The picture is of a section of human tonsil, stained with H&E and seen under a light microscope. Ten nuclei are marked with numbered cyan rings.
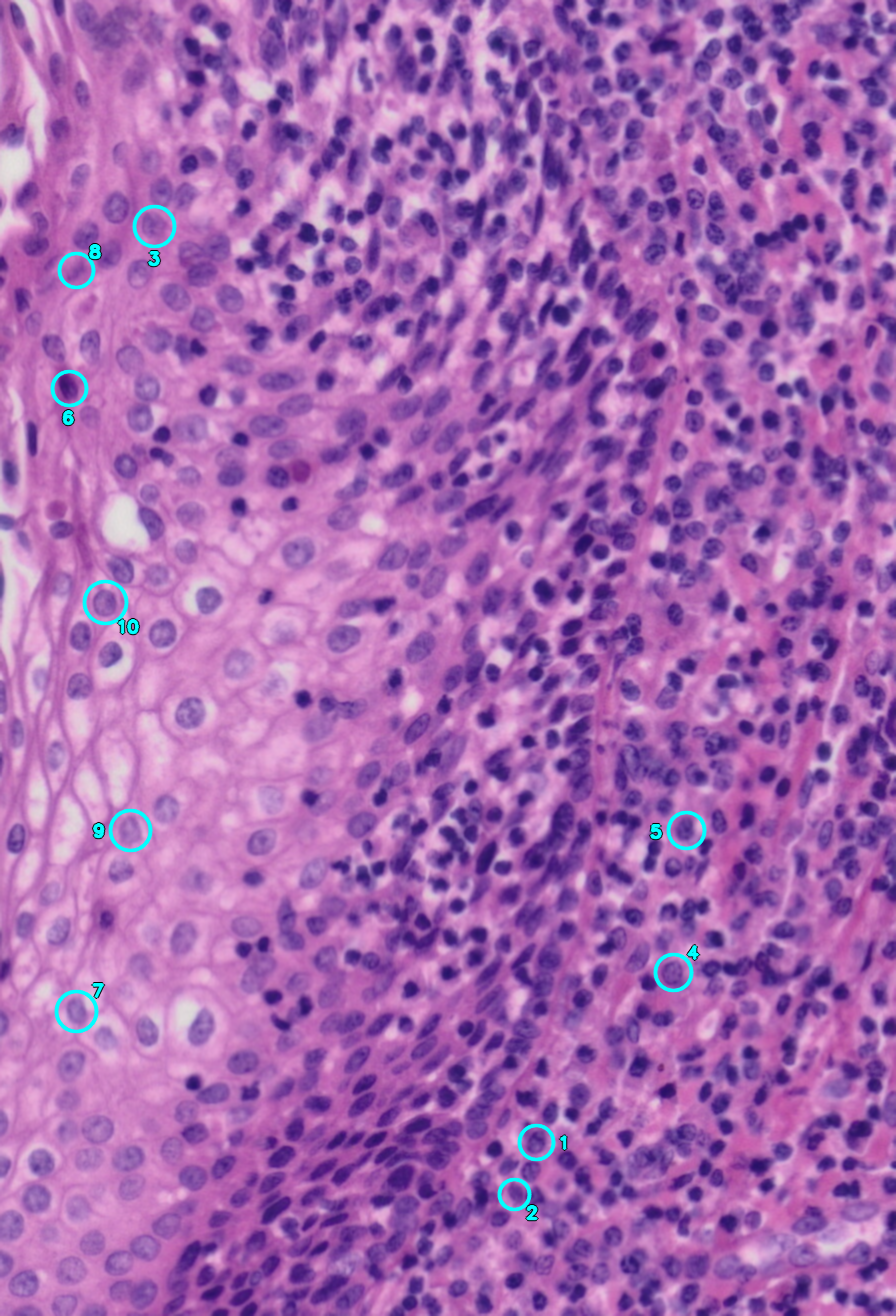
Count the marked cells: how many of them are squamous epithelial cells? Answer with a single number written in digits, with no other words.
6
